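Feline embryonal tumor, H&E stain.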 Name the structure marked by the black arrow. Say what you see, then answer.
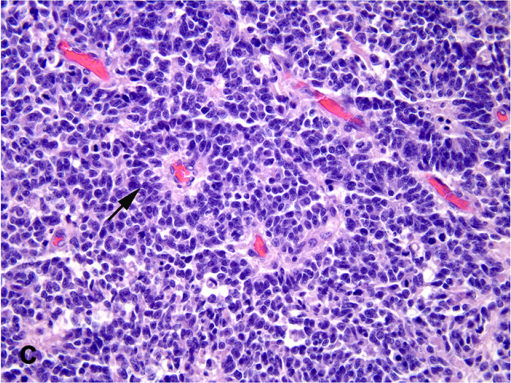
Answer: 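The arrow points to cells arranged around a small blood vessel containing red blood cells. Nuclei lie at a distance from the vessel, leaving a pale fibrillar zone around it. The answer: perivascular pseudorosettes.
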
